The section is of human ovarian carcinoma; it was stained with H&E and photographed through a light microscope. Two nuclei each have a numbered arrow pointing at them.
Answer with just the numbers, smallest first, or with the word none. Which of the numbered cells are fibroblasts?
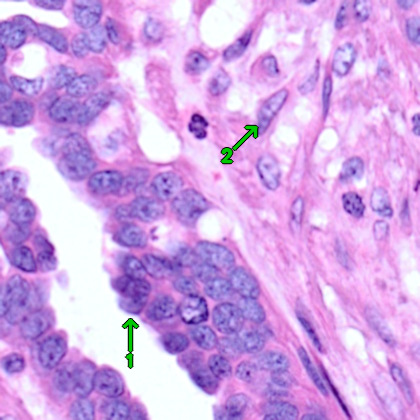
2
